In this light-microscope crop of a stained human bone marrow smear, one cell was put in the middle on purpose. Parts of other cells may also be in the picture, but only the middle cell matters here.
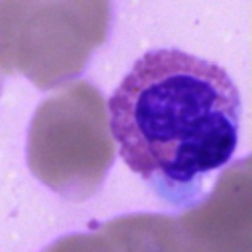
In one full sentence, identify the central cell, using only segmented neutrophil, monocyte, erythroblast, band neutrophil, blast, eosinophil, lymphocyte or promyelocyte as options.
This crop is built around an eosinophil at its centre.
